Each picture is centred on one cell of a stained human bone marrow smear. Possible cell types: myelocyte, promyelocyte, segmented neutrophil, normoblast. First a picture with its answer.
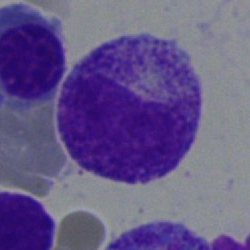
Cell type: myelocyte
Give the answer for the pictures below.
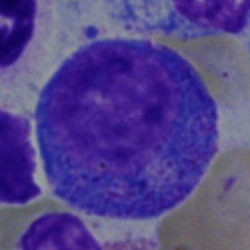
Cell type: promyelocyte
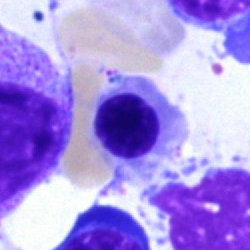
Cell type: normoblast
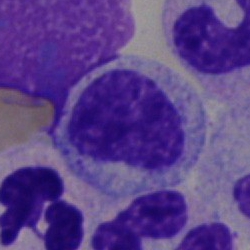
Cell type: myelocyte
